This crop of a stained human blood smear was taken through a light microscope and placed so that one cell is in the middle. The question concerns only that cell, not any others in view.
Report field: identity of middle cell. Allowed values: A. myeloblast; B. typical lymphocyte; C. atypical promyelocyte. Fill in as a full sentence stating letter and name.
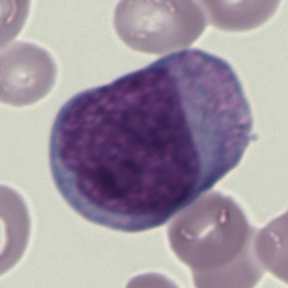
Of the choices given, option C is right, as the central cell is an atypical promyelocyte.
